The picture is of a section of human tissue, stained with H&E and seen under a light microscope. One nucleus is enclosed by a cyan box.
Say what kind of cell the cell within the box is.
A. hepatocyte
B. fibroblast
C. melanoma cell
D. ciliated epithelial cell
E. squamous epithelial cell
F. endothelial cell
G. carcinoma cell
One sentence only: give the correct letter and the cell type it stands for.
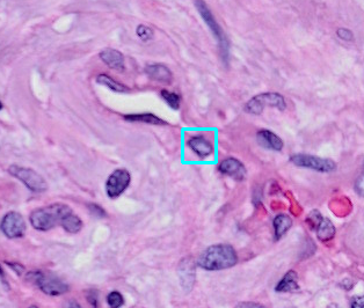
Option F is correct here; the cell within the box is an endothelial cell.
